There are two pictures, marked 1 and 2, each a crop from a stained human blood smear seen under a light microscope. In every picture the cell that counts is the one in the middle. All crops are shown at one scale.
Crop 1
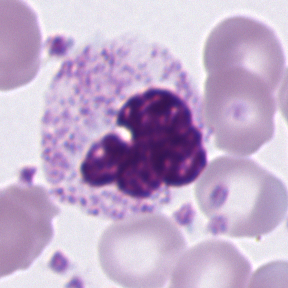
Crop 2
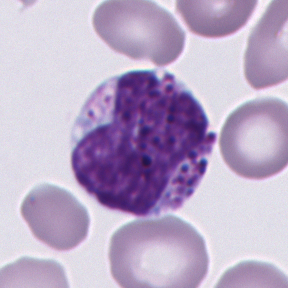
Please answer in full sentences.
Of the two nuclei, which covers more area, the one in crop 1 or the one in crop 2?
It is the nucleus in crop 2, about 1.5 times as large in area as the one in crop 1.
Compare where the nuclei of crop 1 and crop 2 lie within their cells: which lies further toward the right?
In crop 1 the nucleus is shifted more toward the right.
